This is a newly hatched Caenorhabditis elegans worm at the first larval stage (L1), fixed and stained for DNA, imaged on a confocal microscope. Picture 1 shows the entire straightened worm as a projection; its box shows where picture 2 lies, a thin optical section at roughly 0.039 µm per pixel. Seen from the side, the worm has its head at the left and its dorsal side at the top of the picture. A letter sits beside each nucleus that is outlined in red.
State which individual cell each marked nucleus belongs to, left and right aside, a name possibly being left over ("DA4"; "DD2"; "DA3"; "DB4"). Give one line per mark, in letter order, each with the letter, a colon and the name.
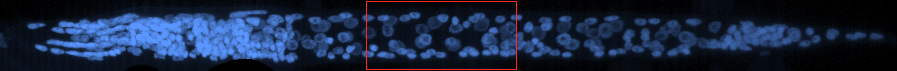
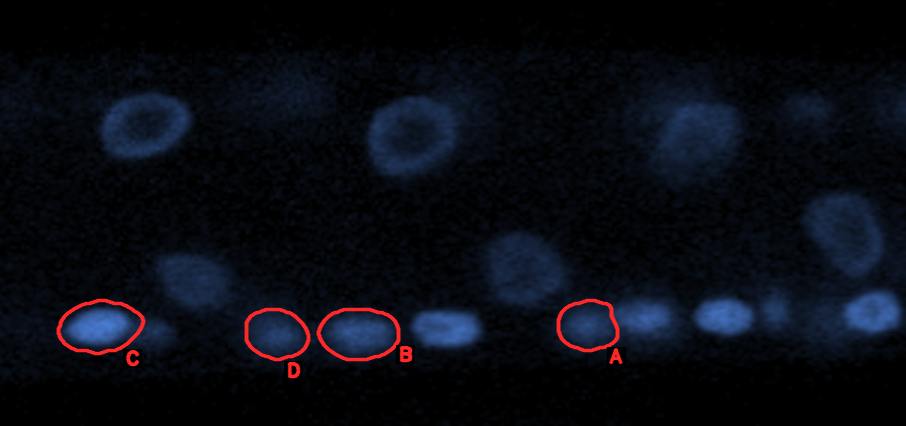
A: DA4
B: DB4
C: DD2
D: DA3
